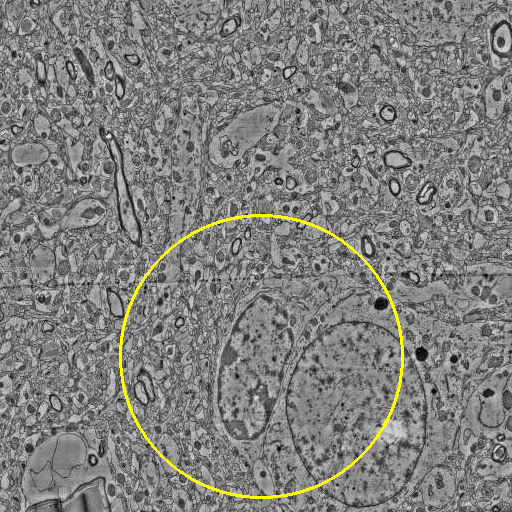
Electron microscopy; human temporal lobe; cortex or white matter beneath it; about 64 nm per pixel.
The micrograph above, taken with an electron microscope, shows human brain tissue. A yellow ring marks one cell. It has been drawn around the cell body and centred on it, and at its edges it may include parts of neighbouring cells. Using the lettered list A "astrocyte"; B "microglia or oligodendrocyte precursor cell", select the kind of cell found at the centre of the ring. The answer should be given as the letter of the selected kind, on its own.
B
